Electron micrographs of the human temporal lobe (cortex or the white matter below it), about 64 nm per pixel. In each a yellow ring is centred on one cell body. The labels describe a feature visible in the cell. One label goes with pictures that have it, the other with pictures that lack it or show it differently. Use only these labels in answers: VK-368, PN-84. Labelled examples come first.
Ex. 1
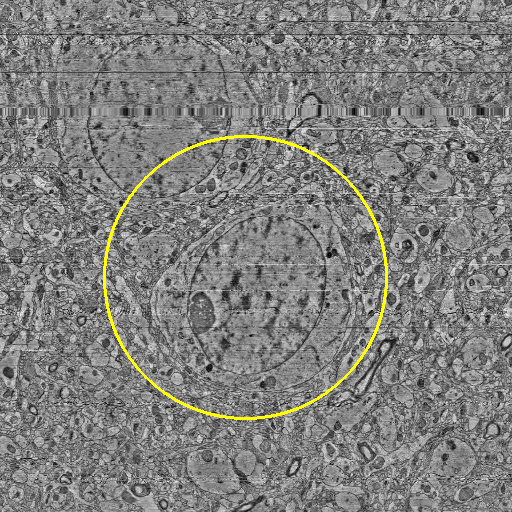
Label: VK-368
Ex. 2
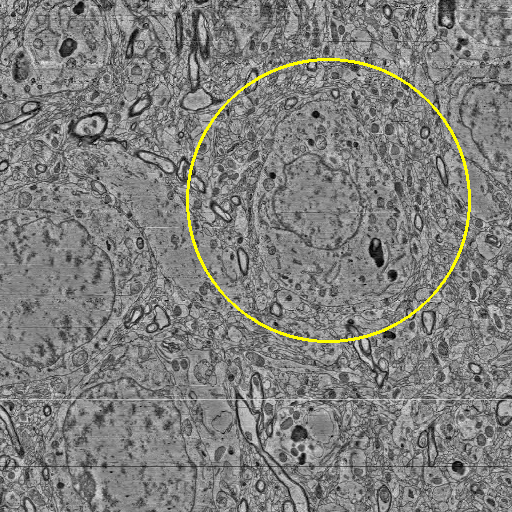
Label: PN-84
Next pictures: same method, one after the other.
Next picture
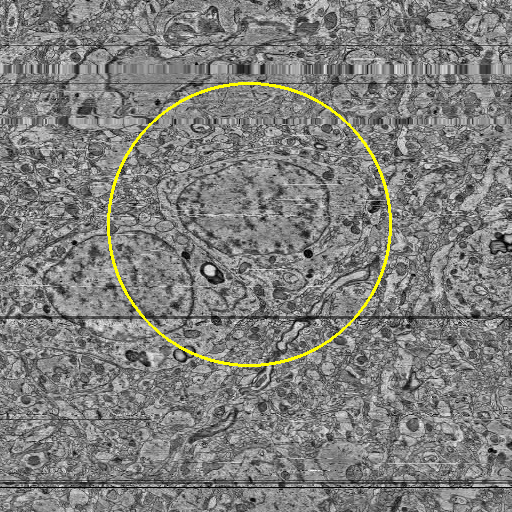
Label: PN-84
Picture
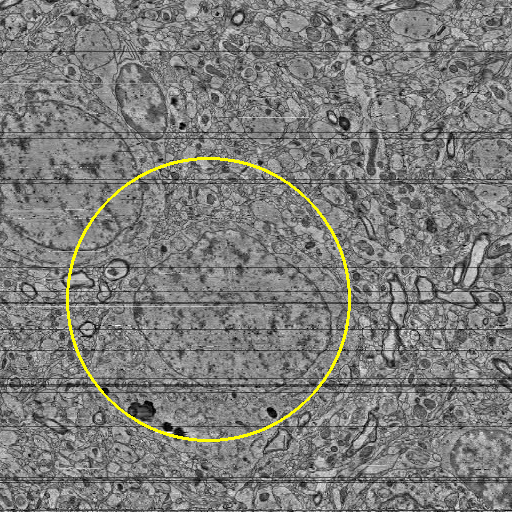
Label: PN-84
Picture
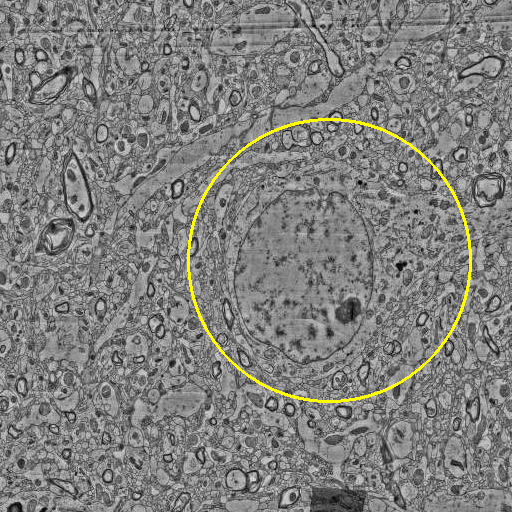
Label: VK-368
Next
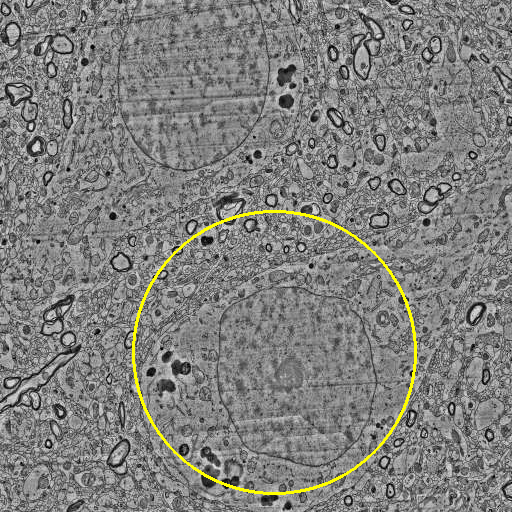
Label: VK-368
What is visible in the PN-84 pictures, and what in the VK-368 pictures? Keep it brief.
PN-84: no nucleolus seen; VK-368: nucleolus seen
